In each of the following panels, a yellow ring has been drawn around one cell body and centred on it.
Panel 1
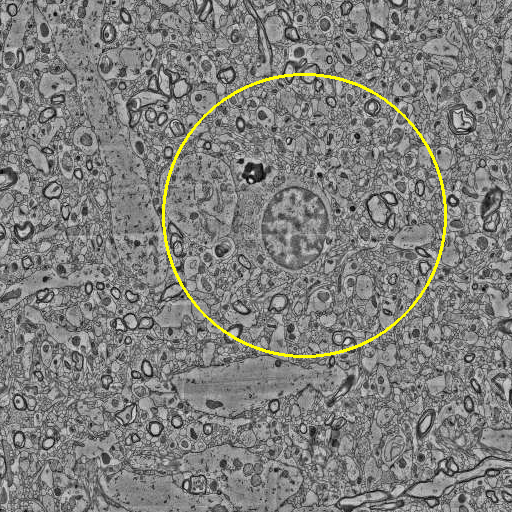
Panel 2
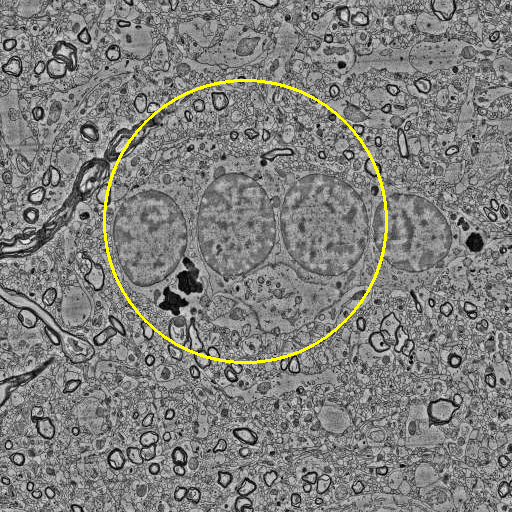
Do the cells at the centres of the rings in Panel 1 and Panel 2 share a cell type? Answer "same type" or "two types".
same type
